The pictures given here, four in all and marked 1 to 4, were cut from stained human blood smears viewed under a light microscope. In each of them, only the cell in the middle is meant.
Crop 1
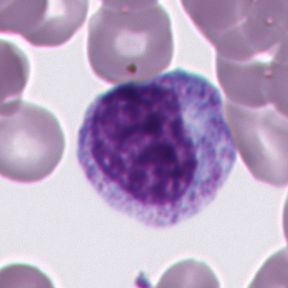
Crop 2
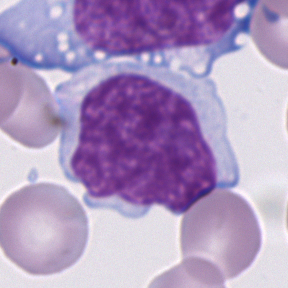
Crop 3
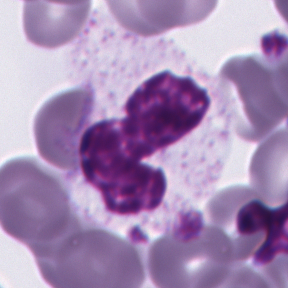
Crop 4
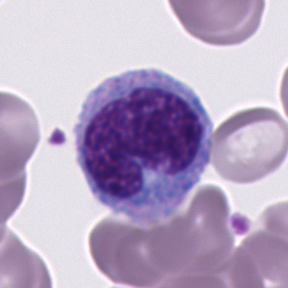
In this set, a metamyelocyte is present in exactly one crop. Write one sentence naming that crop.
Crop 1 is the crop whose central cell is a metamyelocyte.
